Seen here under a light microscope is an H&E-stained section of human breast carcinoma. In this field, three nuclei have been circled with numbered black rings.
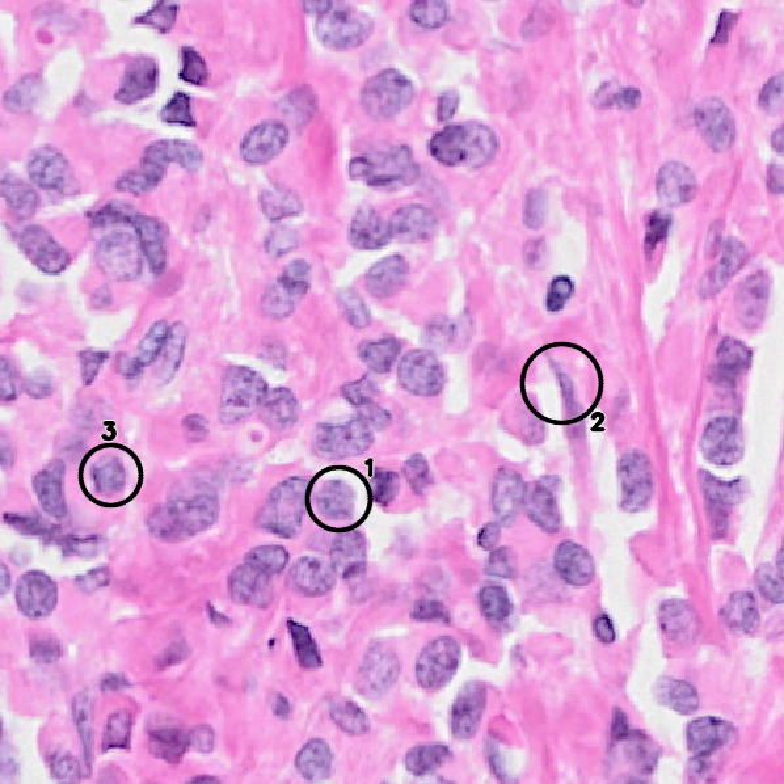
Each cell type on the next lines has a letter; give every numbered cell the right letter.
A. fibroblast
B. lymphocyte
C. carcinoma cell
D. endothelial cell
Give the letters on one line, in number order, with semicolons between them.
C; A; C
